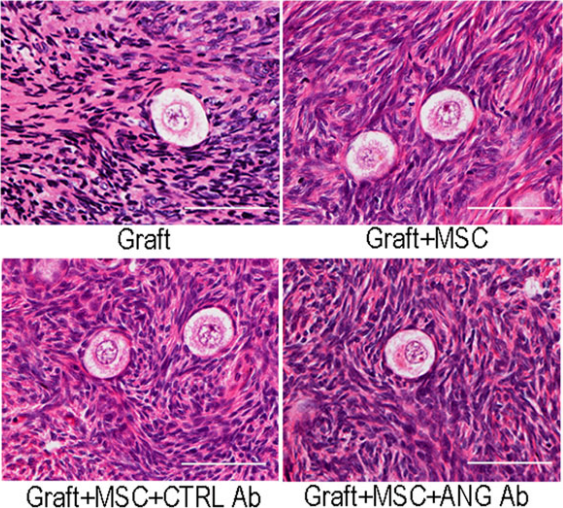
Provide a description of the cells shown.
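These are sections of ovarian tissue in which small round follicles lie scattered within a densely cellular stroma. The stromal cells are spindle-shaped, with elongated dark purple nuclei, and run in interlacing streams; in one field the stroma appears looser, with more pink fibrous material between darker nuclei. Each follicle is a small pale round structure holding a single large cell with pale cytoplasm and a central darker nucleus, enclosed by a thin rim.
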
